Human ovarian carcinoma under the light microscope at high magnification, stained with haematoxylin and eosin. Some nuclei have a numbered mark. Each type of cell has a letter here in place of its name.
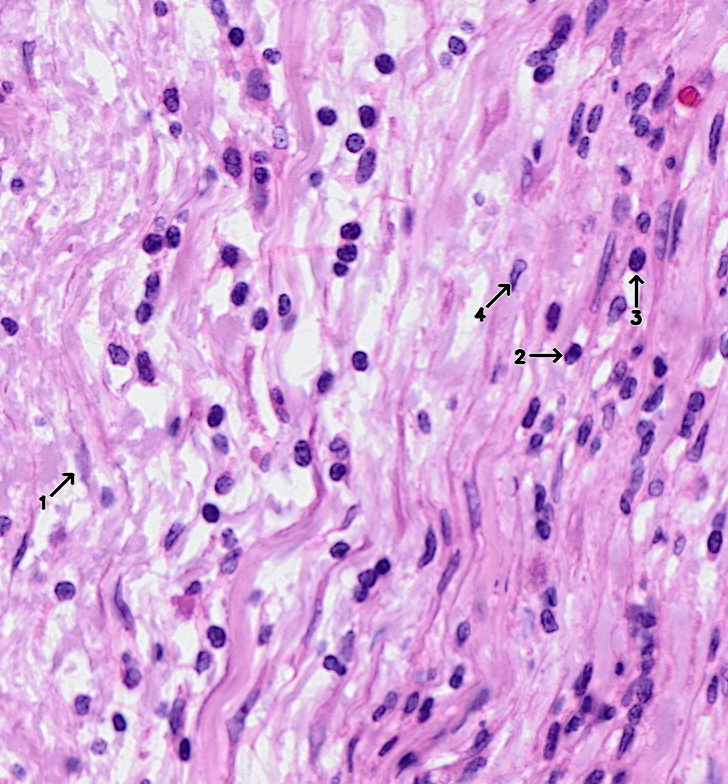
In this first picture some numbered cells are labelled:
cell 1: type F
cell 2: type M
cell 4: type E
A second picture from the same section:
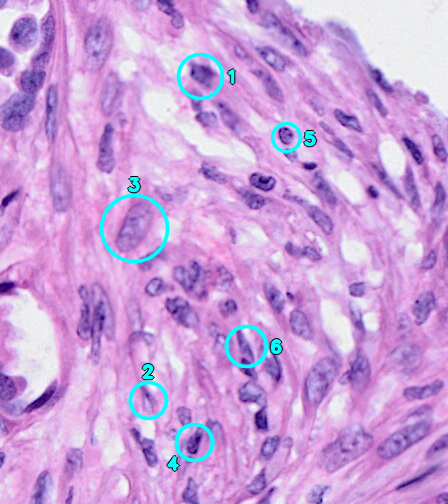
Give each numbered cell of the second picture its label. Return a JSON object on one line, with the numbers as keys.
{"1": "type E", "2": "type F", "3": "type F", "4": "type M", "5": "type M", "6": "type F"}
